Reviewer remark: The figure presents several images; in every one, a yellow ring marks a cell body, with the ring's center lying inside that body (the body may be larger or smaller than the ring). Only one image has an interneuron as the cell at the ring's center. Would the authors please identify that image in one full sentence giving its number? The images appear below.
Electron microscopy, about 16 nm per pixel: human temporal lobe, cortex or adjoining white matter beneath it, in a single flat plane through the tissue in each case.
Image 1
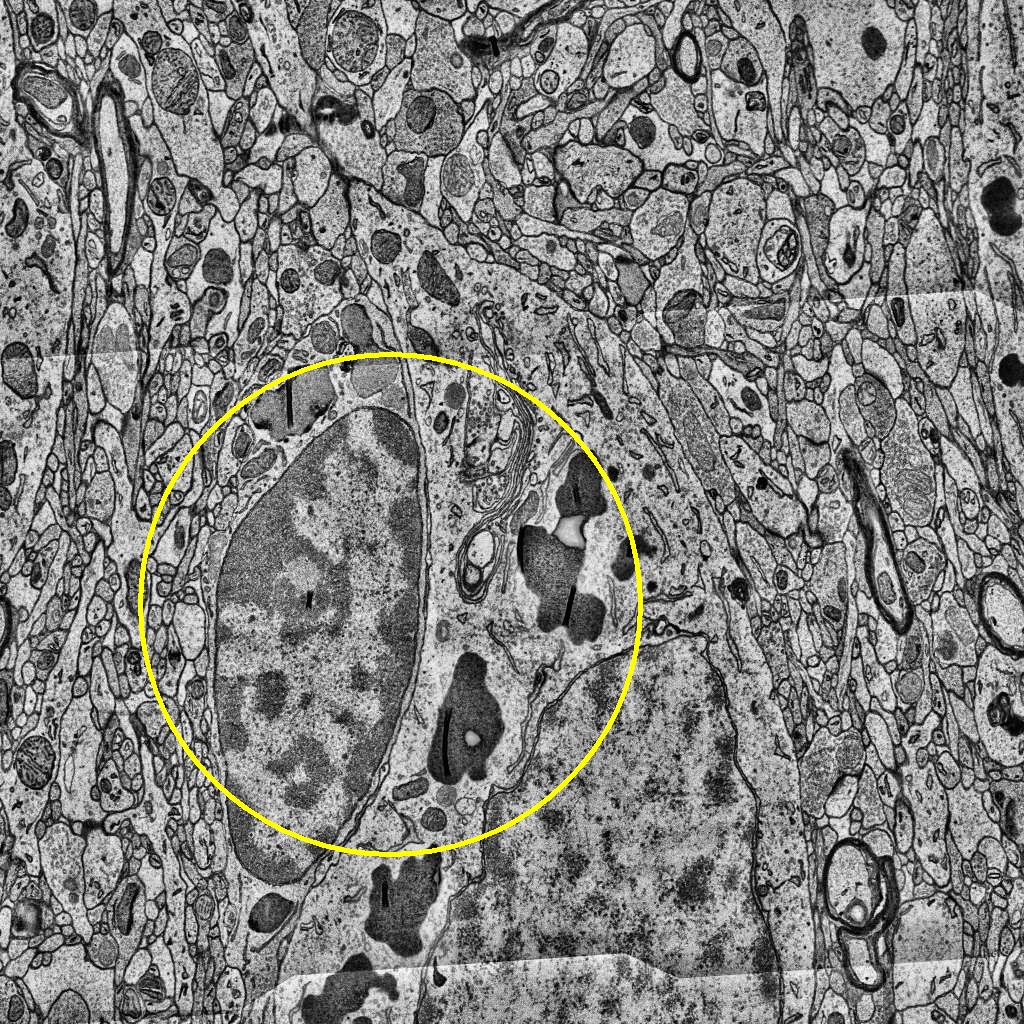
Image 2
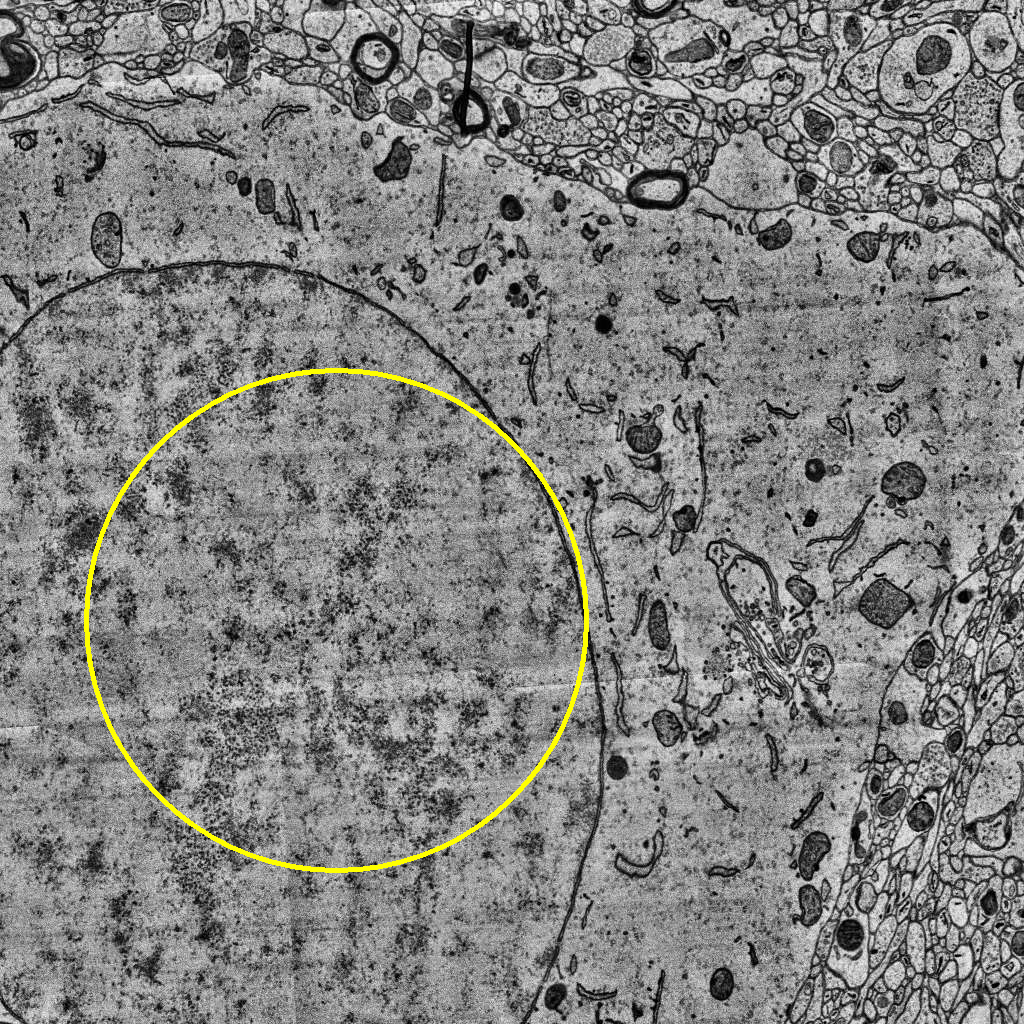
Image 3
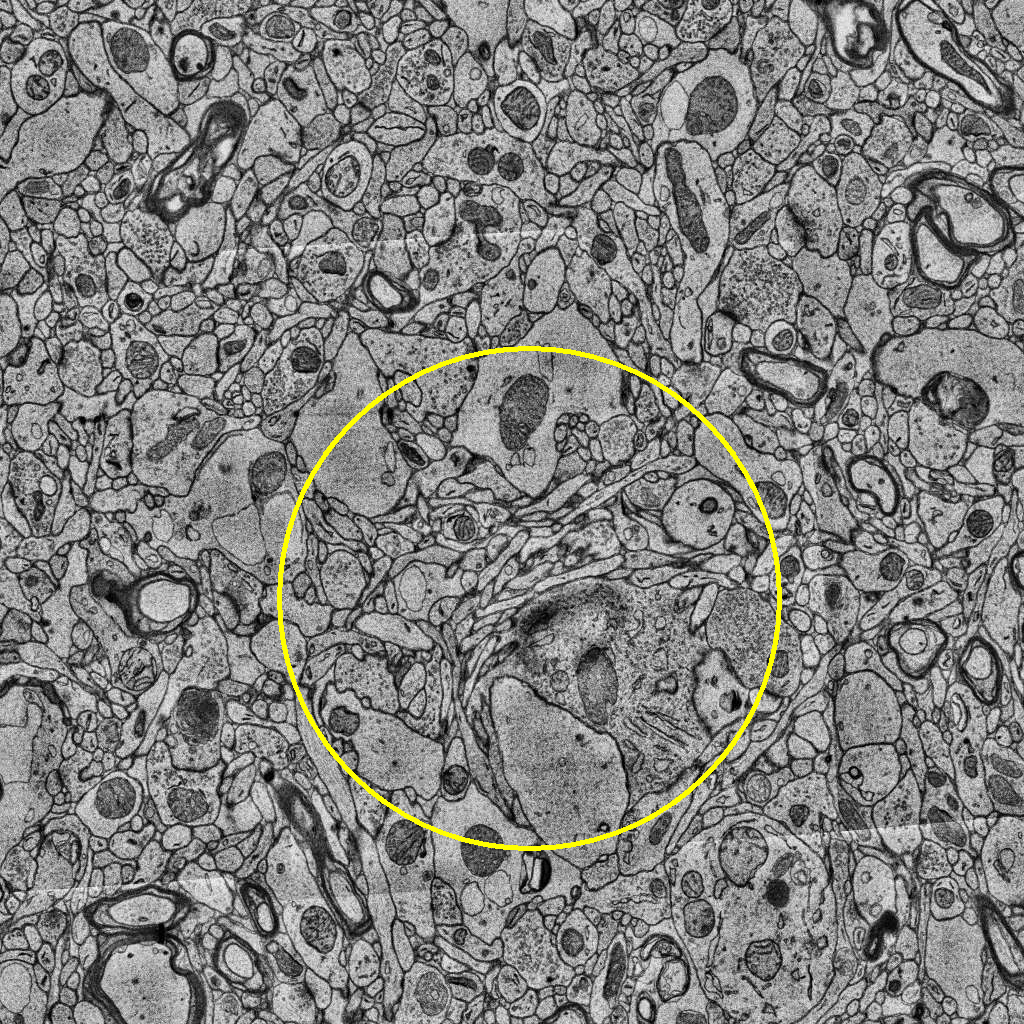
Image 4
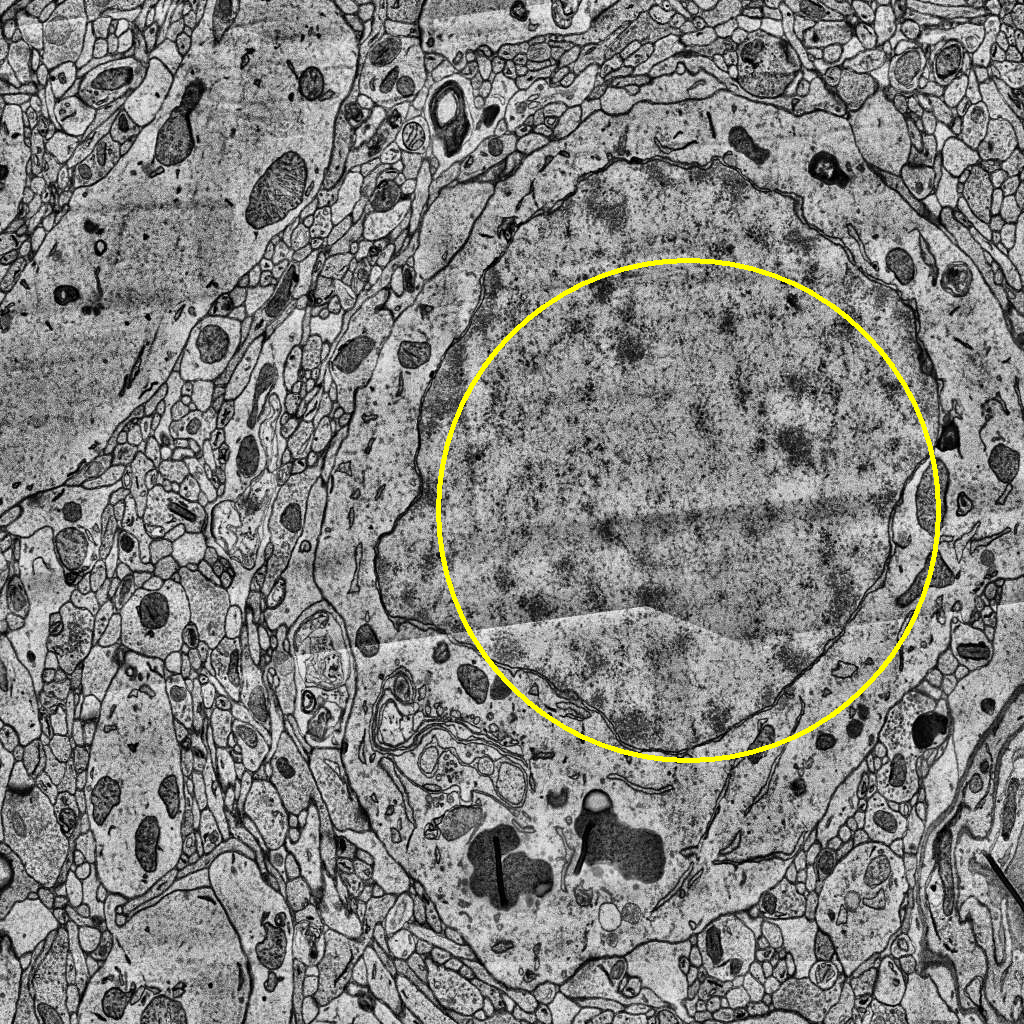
The cell at the ring's center in image 4 is the one the question describes.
